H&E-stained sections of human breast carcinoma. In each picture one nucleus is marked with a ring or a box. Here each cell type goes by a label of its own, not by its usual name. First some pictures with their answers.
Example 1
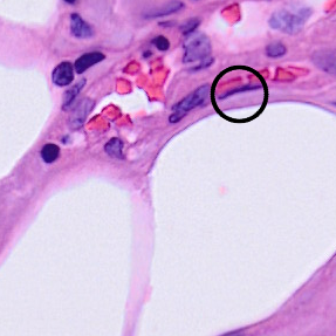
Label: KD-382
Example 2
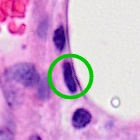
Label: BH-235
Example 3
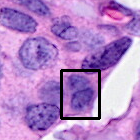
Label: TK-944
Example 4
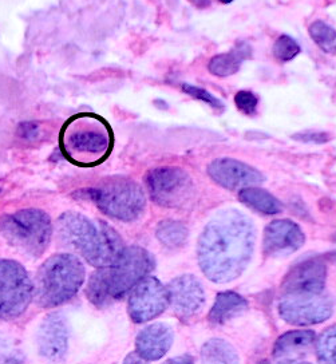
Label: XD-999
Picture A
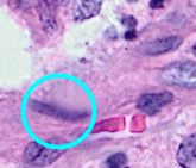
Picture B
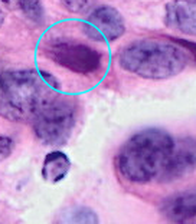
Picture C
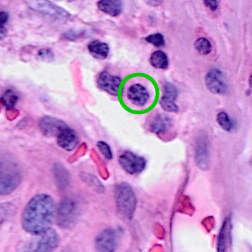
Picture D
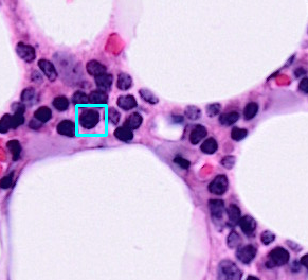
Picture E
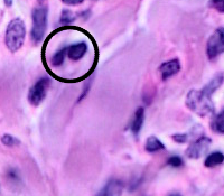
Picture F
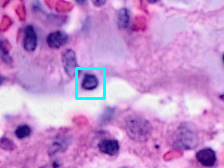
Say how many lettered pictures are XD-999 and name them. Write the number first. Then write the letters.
1: C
